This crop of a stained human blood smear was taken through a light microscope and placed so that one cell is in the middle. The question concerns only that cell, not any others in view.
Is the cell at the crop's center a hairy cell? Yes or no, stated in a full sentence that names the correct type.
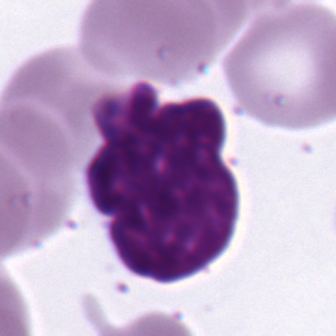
No, the cell placed in the centre is a smudge cell and is not a hairy cell.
